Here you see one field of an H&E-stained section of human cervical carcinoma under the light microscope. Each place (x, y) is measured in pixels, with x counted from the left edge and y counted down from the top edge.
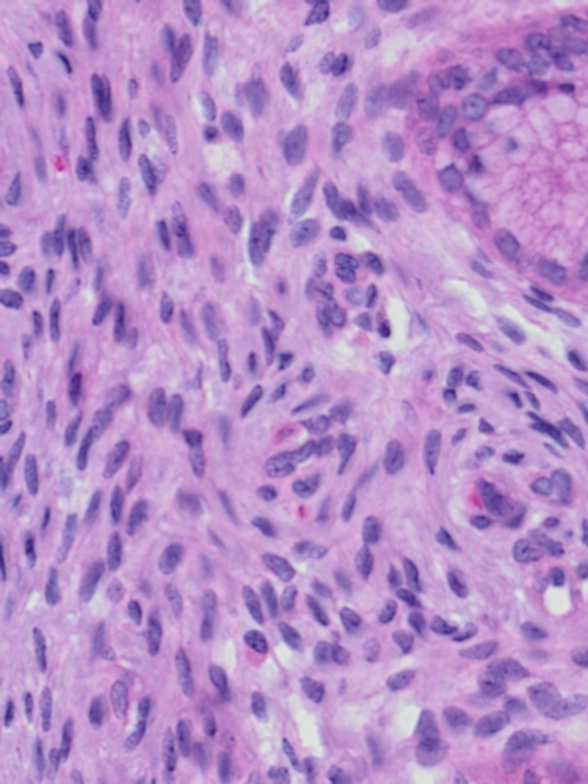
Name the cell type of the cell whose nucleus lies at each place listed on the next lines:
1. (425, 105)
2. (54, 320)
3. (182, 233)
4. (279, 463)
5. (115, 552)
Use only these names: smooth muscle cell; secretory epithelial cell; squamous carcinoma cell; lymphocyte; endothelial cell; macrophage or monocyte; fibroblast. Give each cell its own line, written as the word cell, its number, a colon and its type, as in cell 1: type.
cell 1: secretory epithelial cell
cell 2: fibroblast
cell 3: fibroblast
cell 4: endothelial cell
cell 5: fibroblast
